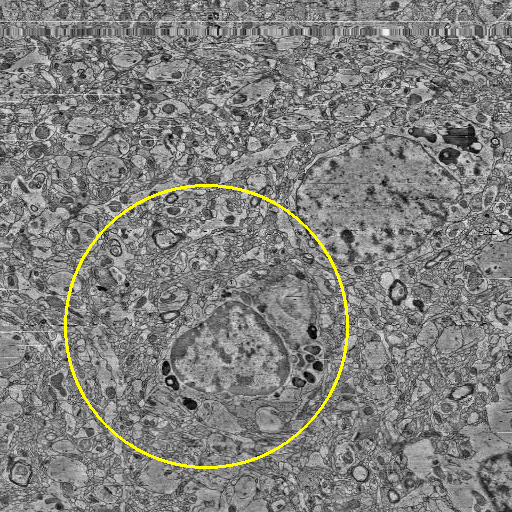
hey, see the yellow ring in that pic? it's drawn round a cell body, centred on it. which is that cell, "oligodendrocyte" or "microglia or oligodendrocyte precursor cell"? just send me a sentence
The cell in the ring is a microglial cell or oligodendrocyte precursor cell.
